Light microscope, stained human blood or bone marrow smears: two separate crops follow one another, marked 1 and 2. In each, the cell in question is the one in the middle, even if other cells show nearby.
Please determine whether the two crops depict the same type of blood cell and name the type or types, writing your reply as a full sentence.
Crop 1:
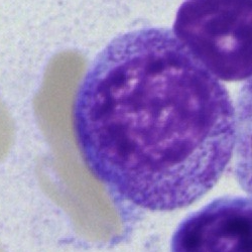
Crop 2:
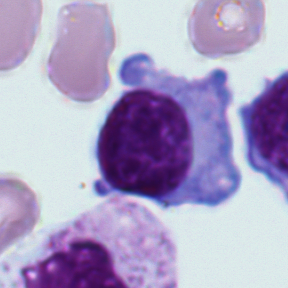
No, crop 1 contains a myelocyte, while crop 2 contains a plasma cell.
